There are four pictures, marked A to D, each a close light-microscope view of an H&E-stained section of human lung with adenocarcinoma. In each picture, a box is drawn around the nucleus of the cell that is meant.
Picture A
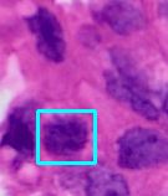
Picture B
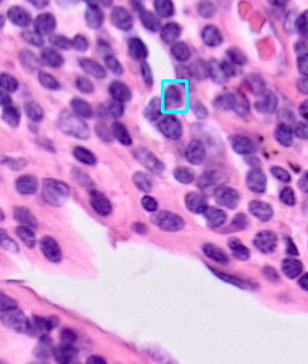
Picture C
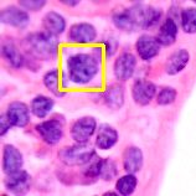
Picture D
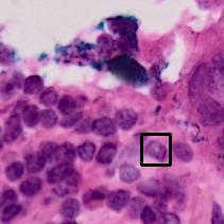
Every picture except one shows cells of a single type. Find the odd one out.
A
